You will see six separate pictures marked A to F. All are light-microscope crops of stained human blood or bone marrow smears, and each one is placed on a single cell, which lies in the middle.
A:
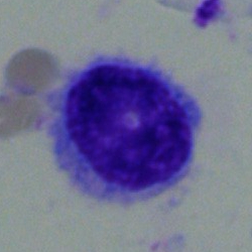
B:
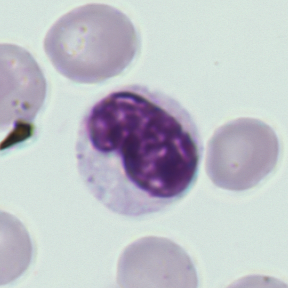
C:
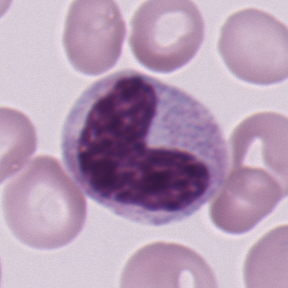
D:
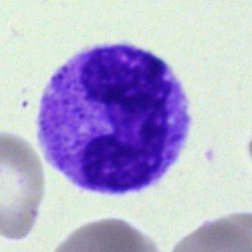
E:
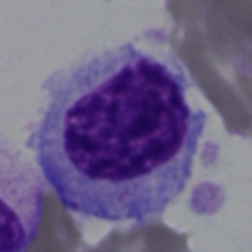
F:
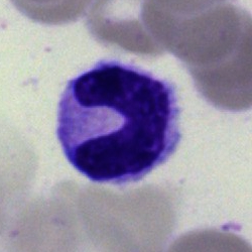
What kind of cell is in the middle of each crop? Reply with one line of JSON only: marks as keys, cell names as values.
{"A": "hairy cell", "B": "band neutrophil", "C": "band neutrophil", "D": "band neutrophil", "E": "hairy cell", "F": "band neutrophil"}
